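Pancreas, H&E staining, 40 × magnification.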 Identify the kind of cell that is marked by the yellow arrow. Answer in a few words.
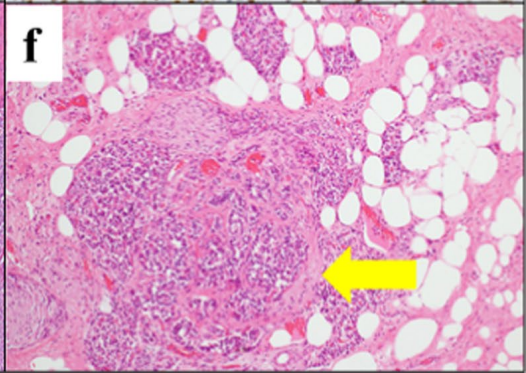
Islet cells.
